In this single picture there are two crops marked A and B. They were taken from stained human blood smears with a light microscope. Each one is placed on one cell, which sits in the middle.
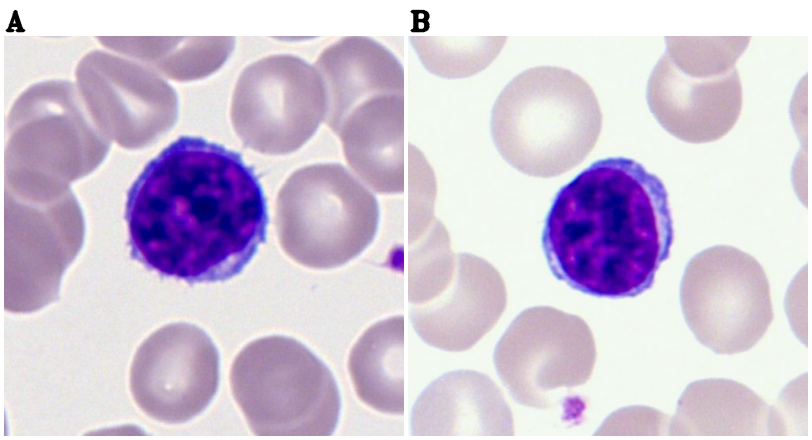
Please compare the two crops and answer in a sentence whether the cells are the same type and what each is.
Yes, both crops show lymphocytes, to put it briefly.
